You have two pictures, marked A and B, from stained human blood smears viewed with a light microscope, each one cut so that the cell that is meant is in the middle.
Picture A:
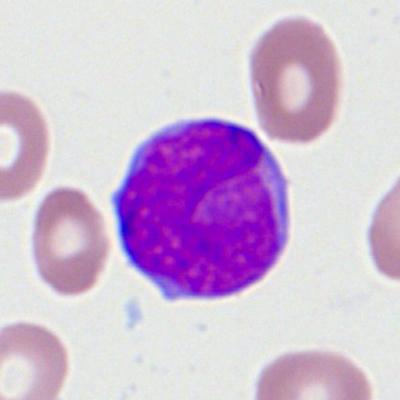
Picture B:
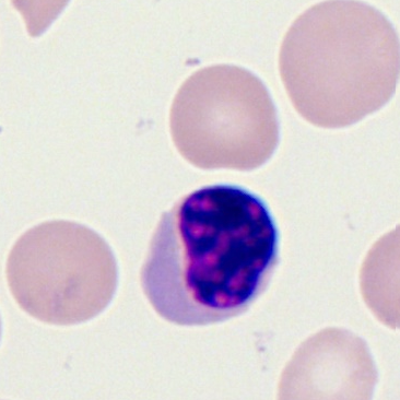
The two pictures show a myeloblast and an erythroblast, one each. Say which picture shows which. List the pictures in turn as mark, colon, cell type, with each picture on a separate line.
A: myeloblast
B: erythroblast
